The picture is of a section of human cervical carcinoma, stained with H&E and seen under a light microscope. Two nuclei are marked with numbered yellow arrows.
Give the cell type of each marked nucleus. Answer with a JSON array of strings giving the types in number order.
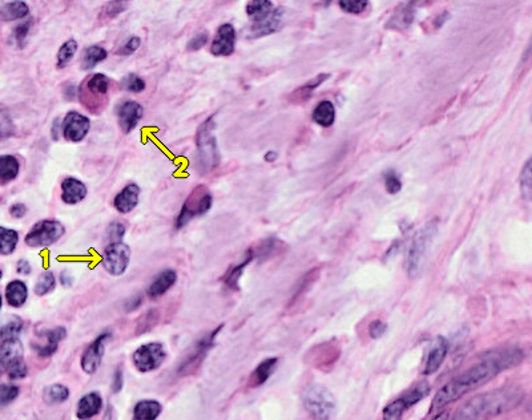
["macrophage or monocyte", "lymphocyte"]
